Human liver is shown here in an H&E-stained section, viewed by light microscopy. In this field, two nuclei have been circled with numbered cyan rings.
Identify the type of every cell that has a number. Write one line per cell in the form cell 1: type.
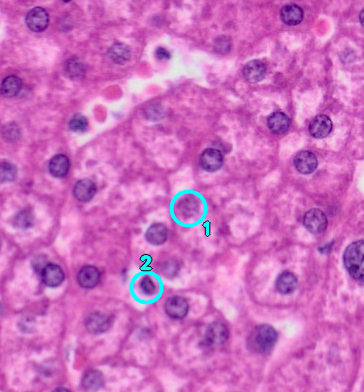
cell 1: hepatocyte
cell 2: Kupffer cell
